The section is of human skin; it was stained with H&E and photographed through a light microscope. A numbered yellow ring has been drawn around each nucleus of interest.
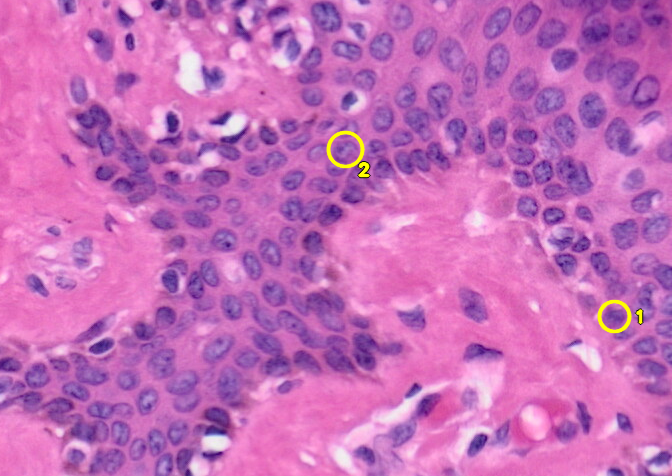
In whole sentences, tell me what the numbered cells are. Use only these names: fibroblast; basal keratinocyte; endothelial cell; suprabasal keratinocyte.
Cell 1 is a basal keratinocyte. Cell 2 is a suprabasal keratinocyte.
